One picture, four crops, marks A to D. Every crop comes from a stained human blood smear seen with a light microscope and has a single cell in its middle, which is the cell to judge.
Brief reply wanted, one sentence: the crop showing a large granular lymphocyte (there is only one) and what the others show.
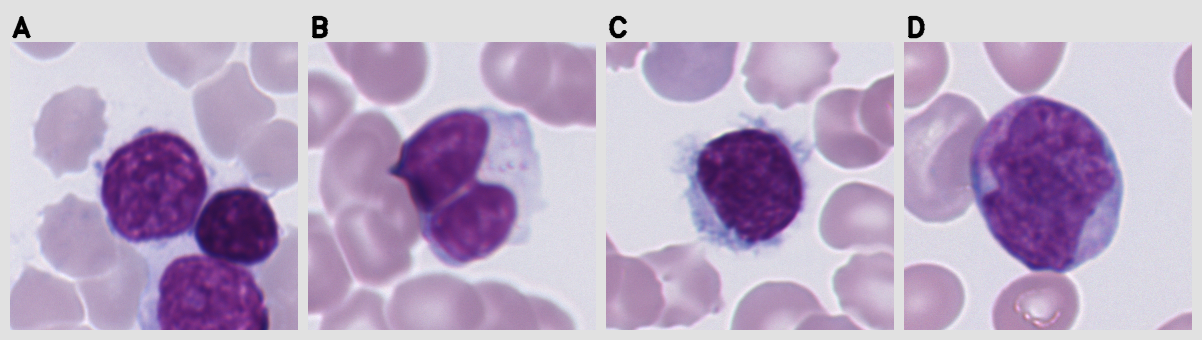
In the case of crop B, the cell is a large granular lymphocyte, while crop A is a myeloblast, crop C is a hairy cell and crop D is an atypical promyelocyte.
